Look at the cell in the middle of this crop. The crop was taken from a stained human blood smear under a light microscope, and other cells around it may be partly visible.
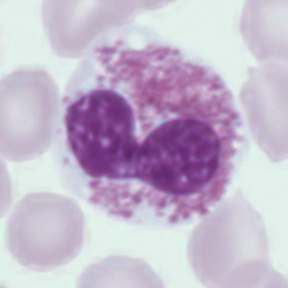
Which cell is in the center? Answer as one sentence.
The identification for the central cell is an eosinophil.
